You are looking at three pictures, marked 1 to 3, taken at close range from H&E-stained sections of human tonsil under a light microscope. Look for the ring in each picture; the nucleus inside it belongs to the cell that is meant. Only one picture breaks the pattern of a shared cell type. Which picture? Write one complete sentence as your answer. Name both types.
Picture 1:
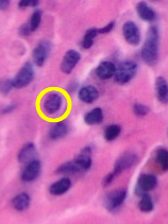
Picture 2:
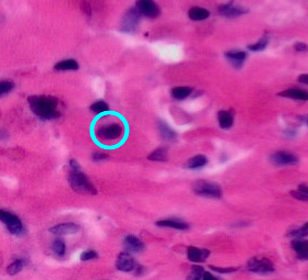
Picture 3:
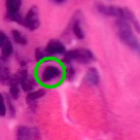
All pictures except 3 show mast cells; picture 3 shows a plasma cell.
